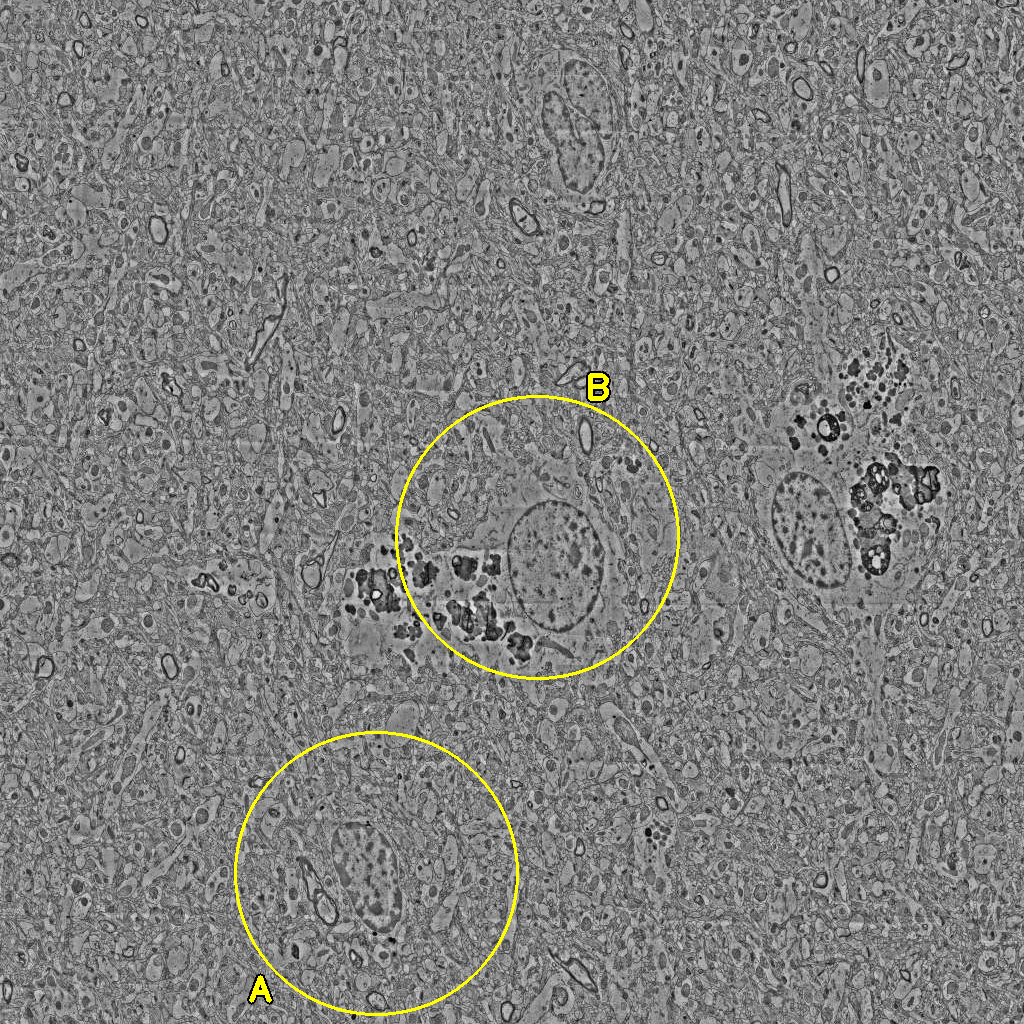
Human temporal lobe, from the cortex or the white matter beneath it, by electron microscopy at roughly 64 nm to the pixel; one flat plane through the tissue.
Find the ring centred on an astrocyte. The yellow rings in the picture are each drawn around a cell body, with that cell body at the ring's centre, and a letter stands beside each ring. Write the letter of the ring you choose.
B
